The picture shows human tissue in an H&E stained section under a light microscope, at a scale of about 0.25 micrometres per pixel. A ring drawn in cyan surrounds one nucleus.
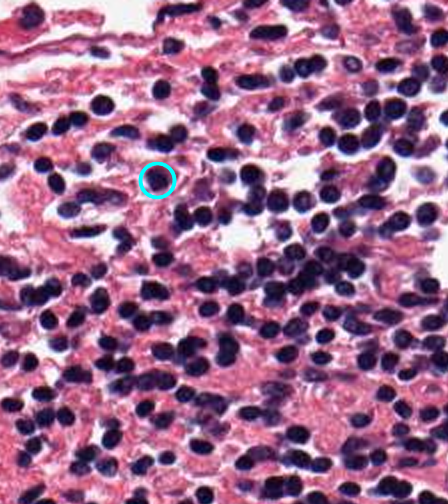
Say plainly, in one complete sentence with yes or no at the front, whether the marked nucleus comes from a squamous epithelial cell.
No, the cell to which the marked nucleus belongs is a supporting cell rather than a squamous epithelial cell.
